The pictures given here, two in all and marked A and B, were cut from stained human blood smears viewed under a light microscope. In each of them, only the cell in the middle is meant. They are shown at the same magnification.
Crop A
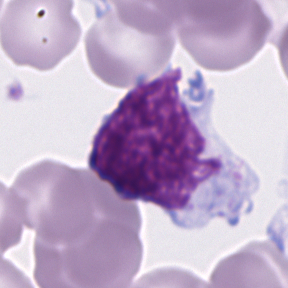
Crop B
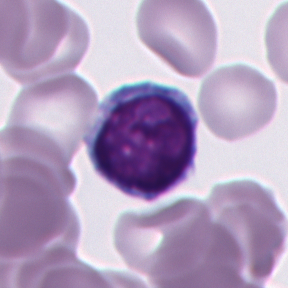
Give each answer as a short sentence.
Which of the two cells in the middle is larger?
It is the cell in crop A, about 1.5 times as large in area as the cell in crop B.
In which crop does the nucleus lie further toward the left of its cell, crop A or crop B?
It is the nucleus in crop A that lies further toward the left of its cell.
